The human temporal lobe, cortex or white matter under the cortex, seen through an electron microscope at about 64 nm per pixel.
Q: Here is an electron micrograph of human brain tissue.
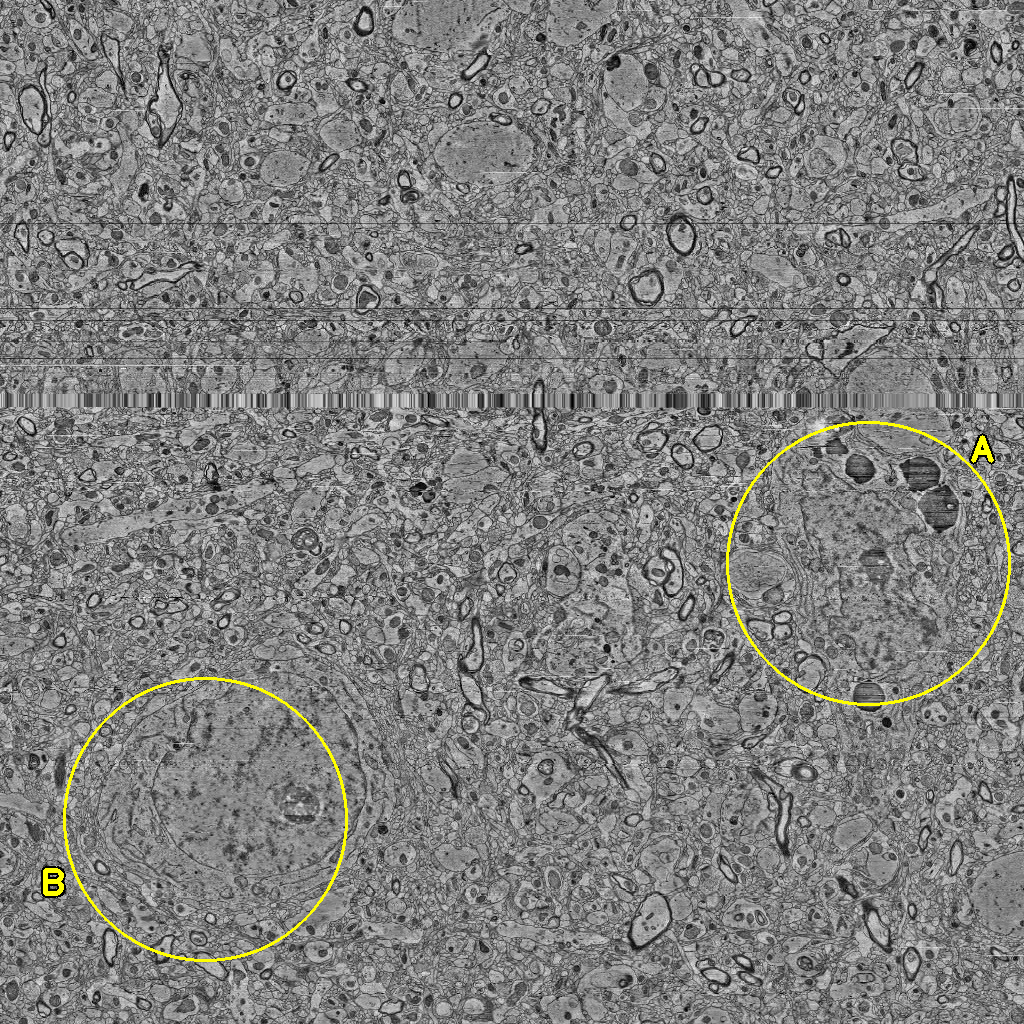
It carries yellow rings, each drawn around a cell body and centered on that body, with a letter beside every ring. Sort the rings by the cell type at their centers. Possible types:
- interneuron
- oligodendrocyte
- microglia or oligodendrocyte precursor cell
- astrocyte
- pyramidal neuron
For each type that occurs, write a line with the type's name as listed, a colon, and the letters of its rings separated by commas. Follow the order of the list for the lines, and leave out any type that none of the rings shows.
interneuron: A, B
